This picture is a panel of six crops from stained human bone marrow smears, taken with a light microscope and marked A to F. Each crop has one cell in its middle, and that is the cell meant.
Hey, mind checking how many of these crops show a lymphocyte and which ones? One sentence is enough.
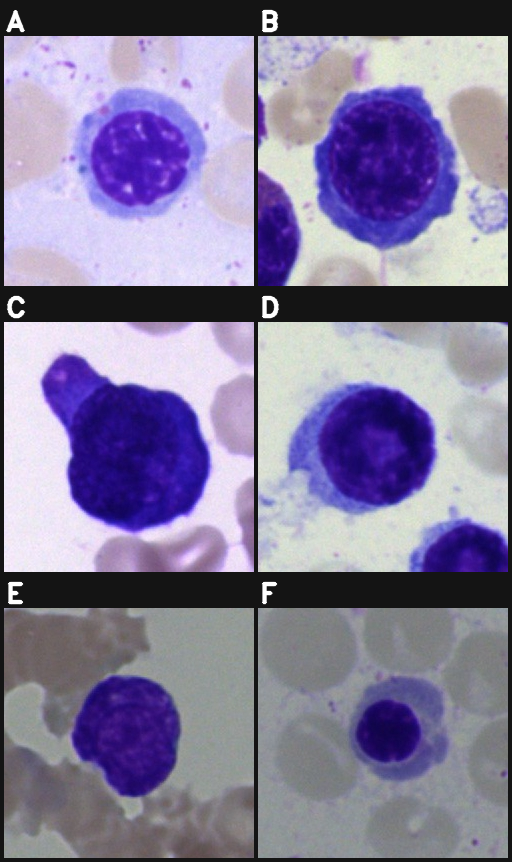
Of all the crops, crop D is the one containing a lymphocyte.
